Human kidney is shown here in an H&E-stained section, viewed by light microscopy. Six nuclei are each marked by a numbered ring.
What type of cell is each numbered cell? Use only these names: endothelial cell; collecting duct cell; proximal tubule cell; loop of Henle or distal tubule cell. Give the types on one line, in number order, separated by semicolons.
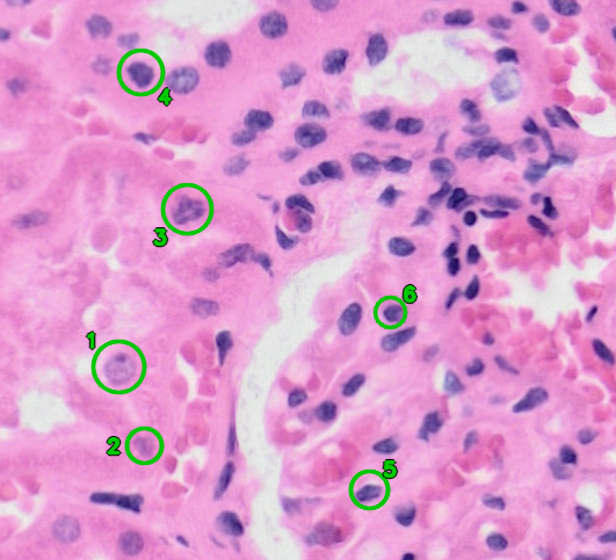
proximal tubule cell; proximal tubule cell; proximal tubule cell; loop of Henle or distal tubule cell; endothelial cell; endothelial cell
